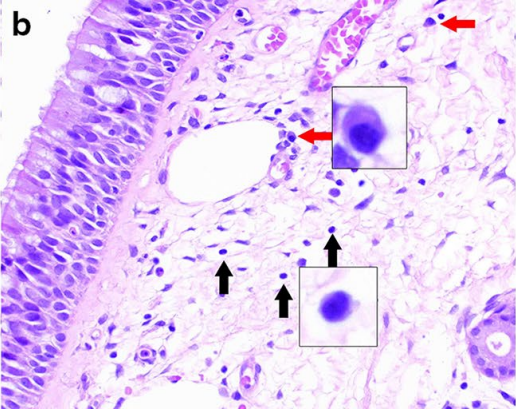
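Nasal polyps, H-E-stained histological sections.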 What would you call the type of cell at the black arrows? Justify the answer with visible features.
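Lymphocytes. Small round cells scattered in the loose stroma. Each has a round, dark purple nucleus filling most of the cell. The rim of cytoplasm is scant, as the enlarged inset shows.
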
